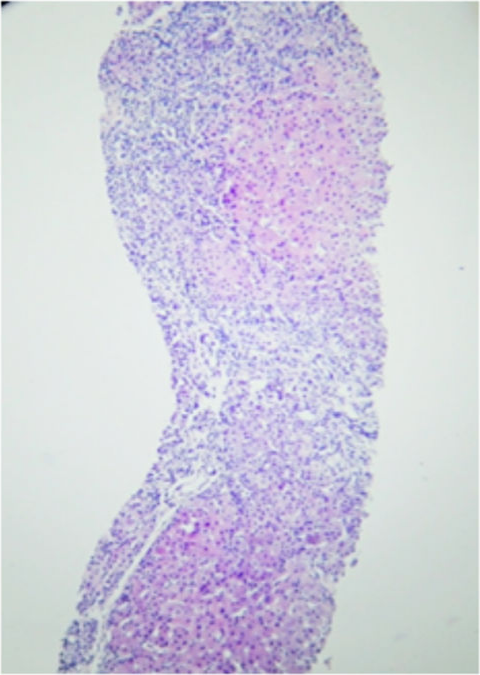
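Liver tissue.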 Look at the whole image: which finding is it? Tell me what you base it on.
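Broad areas crowded with small dark blue nuclei. These cellular areas lie between paler pink parenchyma of larger cells. That points to this answer: infiltration of inflammatory cells.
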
